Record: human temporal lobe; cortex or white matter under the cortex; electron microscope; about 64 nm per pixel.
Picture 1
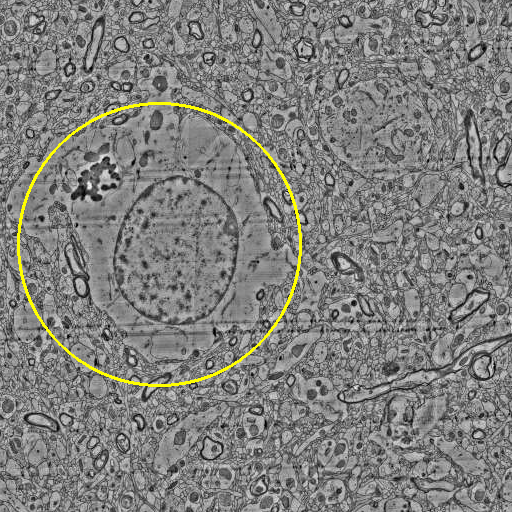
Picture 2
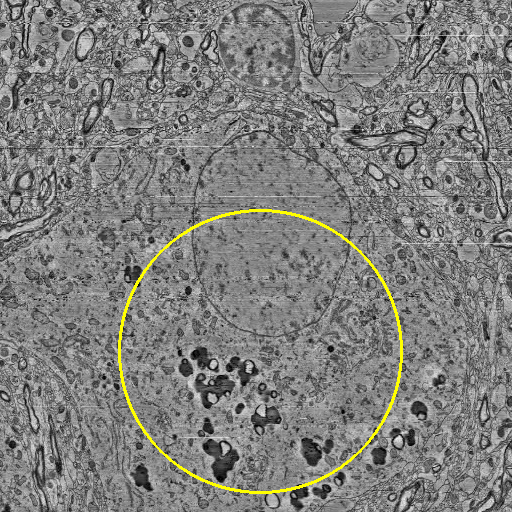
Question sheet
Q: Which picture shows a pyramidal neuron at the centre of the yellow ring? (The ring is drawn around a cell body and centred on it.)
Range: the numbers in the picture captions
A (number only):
2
